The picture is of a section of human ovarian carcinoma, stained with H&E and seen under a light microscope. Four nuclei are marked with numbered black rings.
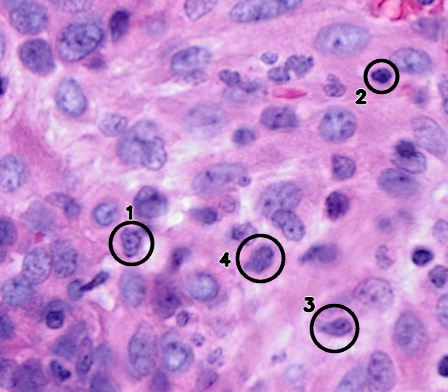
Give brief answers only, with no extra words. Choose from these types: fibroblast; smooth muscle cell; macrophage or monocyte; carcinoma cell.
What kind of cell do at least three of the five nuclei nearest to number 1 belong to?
carcinoma cell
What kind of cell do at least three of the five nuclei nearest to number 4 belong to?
macrophage or monocyte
